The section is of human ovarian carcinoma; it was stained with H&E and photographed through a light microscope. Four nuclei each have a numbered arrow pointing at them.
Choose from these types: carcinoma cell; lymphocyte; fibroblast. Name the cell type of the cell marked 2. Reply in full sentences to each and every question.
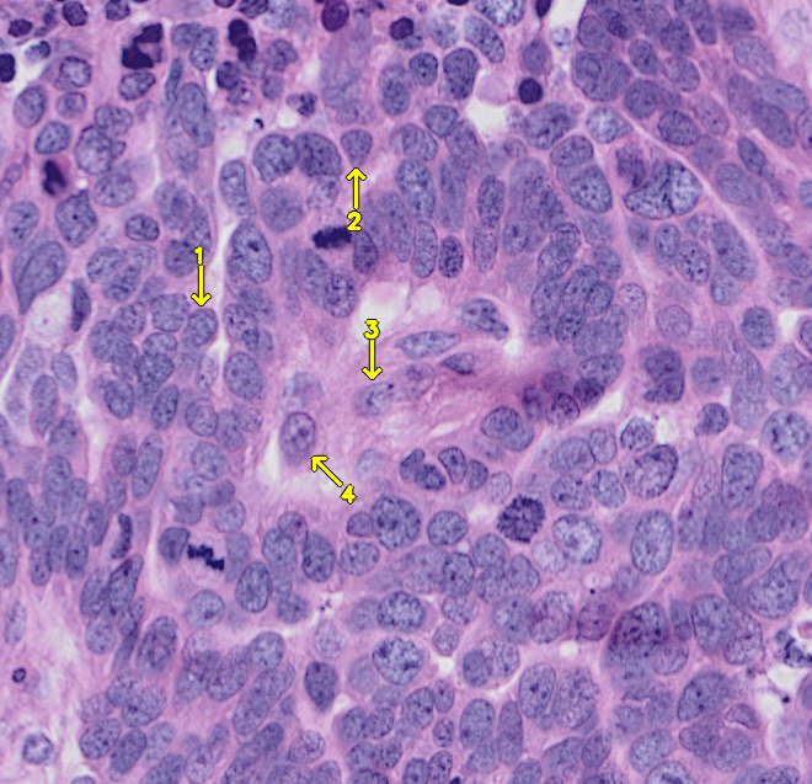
Of the numbered cells, the one labelled 2 is a carcinoma cell.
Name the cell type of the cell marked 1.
It is as a carcinoma cell that the cell numbered 1 is identified.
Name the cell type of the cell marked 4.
The numbered cell 4 in this field is a fibroblast.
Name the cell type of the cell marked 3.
The numbered cell 3 in this field is a fibroblast.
